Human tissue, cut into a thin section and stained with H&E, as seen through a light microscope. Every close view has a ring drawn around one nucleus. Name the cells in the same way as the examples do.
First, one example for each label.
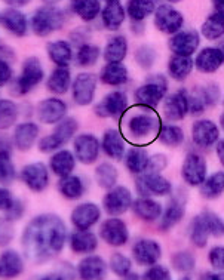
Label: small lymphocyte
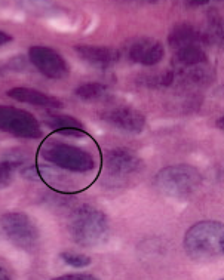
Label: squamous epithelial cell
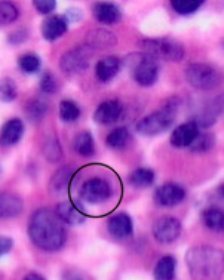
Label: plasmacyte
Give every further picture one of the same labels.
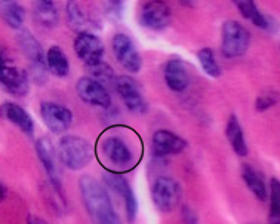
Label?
plasmacyte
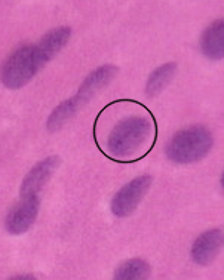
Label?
squamous epithelial cell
